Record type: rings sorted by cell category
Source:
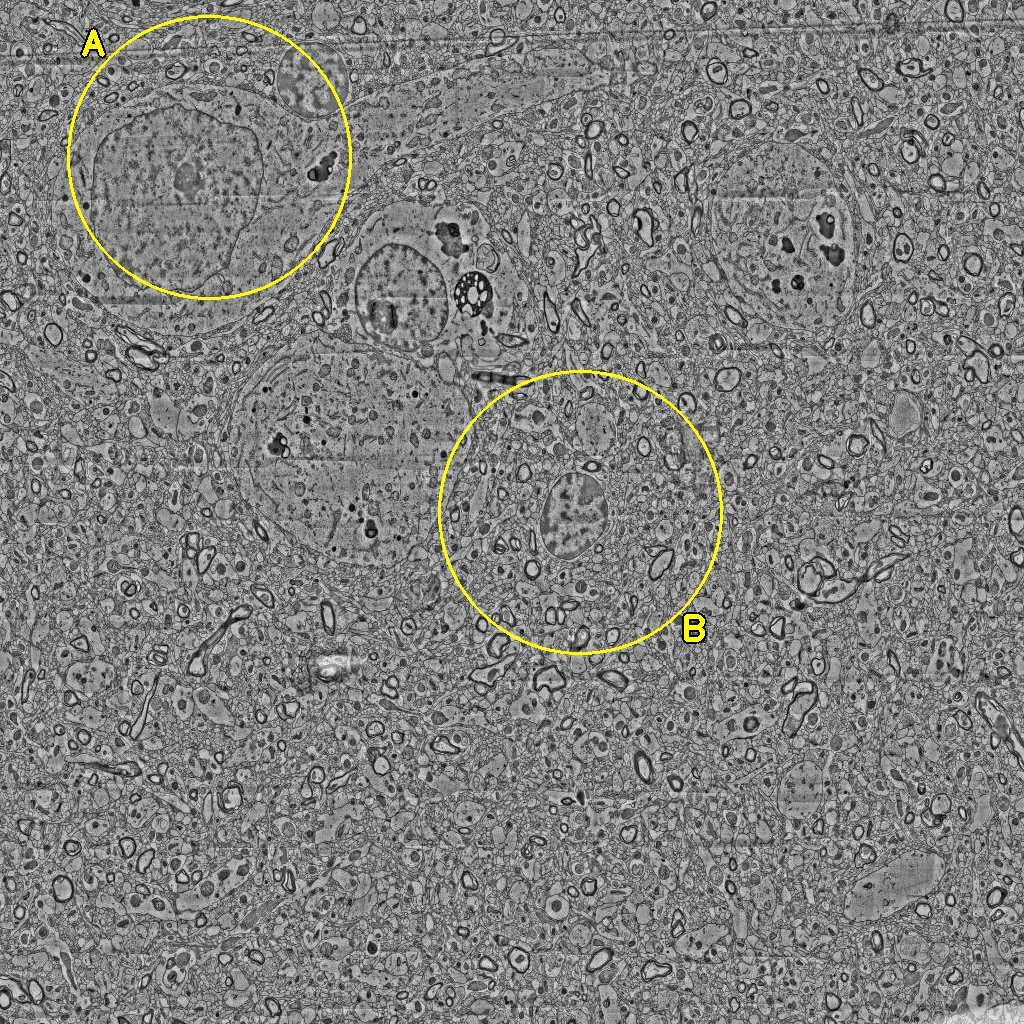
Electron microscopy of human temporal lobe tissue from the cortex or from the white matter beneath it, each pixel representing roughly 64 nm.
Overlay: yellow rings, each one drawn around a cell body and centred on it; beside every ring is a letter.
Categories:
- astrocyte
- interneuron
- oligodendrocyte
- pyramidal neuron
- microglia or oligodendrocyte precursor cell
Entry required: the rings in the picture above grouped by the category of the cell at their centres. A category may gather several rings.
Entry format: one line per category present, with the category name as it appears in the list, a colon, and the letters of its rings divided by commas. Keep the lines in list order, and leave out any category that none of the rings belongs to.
pyramidal neuron: A
microglia or oligodendrocyte precursor cell: B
